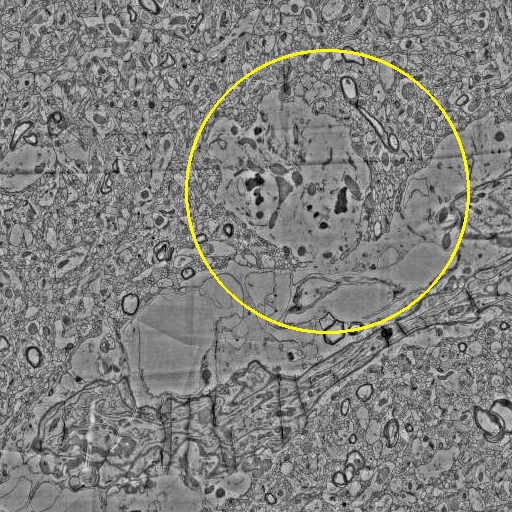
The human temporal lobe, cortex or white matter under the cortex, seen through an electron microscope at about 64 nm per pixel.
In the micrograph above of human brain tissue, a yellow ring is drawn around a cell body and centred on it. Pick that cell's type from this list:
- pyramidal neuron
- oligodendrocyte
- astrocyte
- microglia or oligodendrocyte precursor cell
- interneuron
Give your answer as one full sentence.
Going by the list, an astrocyte is the cell on which the yellow ring is centred.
